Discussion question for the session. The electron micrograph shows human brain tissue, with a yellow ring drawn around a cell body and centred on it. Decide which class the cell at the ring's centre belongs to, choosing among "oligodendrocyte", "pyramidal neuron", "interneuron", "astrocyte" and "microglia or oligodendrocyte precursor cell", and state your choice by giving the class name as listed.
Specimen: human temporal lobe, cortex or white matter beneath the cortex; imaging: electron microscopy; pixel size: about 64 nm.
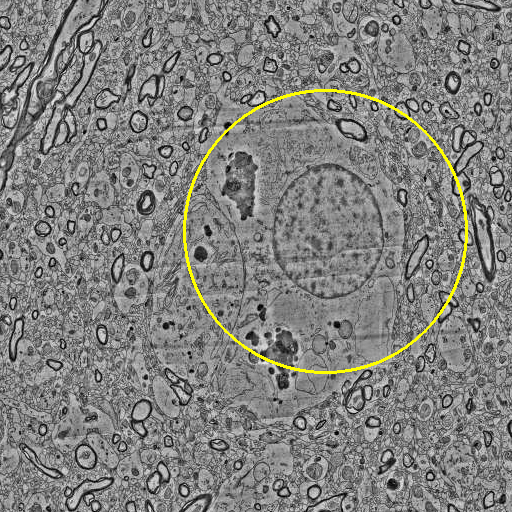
astrocyte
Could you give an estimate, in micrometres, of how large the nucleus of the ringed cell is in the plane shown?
The nucleus is approximately 8 micrometers long by 7 micrometers wide in this plane.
